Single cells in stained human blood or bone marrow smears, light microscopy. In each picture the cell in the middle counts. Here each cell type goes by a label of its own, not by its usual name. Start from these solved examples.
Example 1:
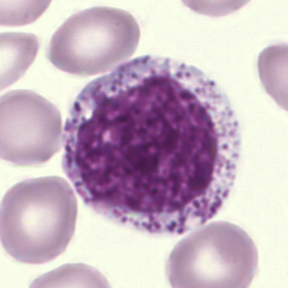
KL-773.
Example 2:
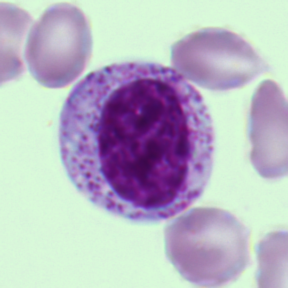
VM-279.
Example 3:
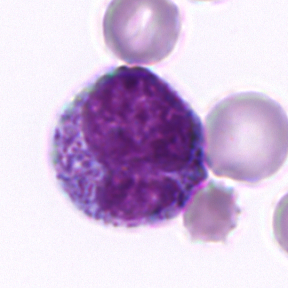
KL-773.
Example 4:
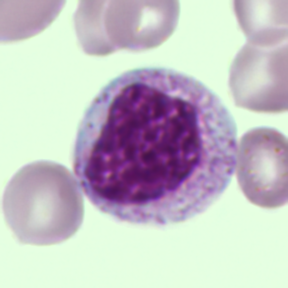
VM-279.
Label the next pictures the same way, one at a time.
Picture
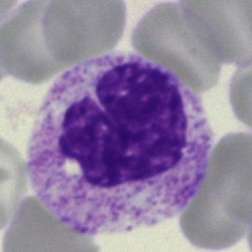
VM-279.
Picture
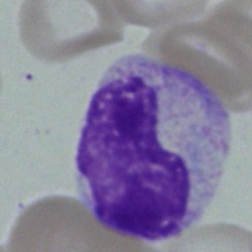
VM-279.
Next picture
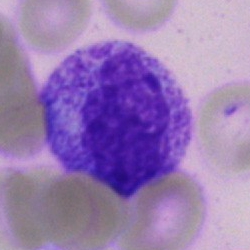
KL-773.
